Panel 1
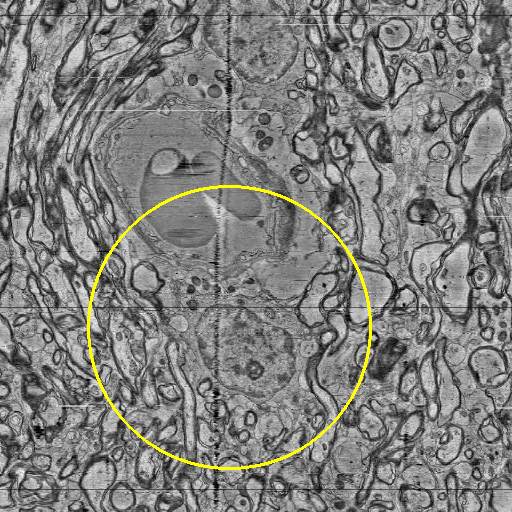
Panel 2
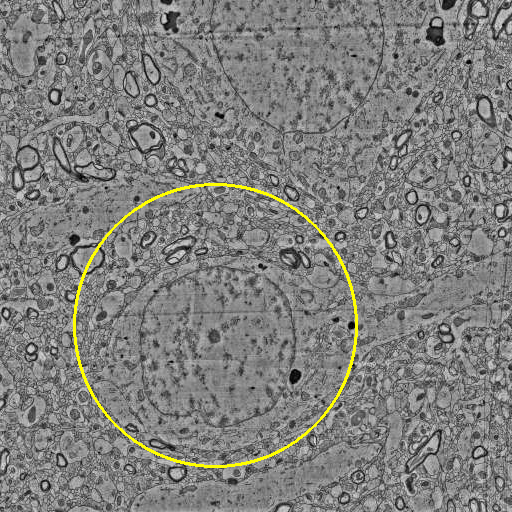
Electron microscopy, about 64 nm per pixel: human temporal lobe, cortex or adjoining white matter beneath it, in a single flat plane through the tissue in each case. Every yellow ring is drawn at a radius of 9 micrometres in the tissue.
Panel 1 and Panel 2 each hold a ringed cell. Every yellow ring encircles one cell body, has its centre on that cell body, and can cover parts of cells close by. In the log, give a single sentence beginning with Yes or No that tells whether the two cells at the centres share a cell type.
No, in Panel 1 and Panel 2 the centred cells are of two cell types.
